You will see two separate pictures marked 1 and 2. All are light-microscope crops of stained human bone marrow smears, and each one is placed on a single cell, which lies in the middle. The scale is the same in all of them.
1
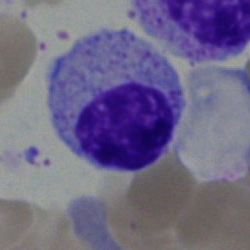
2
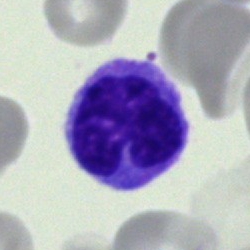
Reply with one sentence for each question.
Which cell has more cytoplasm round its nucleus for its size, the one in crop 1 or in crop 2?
It is the cell in crop 1 that is filled less by its nucleus.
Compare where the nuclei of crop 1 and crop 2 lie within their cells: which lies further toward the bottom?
In crop 1 the nucleus is shifted more toward the bottom.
